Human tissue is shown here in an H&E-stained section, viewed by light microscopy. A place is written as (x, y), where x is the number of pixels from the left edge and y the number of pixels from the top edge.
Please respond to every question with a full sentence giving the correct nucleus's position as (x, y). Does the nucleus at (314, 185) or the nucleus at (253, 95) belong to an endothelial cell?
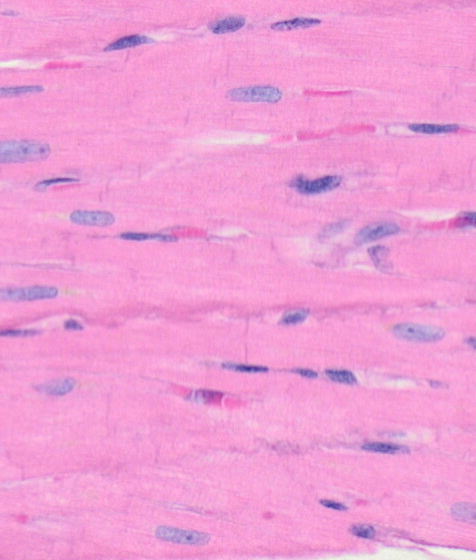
Of the two nuclei, it is the one at (314, 185) that lies within an endothelial cell.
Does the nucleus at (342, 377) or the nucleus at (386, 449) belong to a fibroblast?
The one nucleus of the two that belongs to a fibroblast is at (342, 377).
